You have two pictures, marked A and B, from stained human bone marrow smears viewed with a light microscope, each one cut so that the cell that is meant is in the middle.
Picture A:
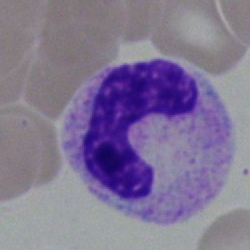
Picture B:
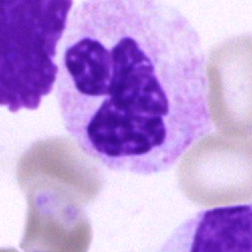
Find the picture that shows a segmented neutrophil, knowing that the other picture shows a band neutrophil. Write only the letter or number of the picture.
B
